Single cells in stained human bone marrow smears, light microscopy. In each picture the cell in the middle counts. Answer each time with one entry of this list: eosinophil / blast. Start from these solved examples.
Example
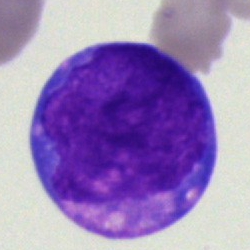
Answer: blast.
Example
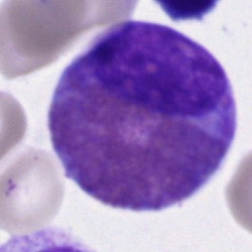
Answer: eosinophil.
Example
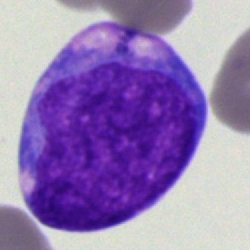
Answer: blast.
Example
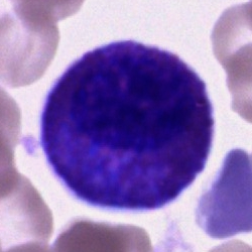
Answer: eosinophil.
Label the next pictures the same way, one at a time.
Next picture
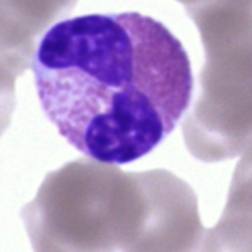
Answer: eosinophil.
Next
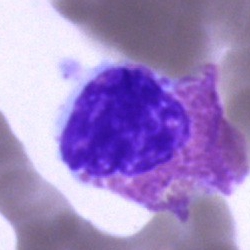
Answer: eosinophil.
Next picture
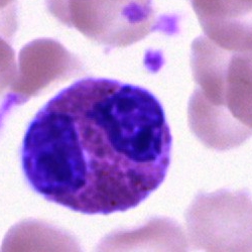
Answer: eosinophil.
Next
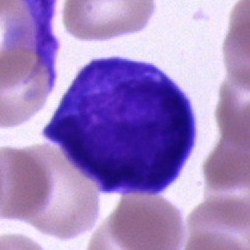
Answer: blast.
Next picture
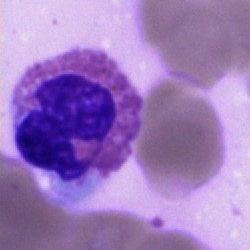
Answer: eosinophil.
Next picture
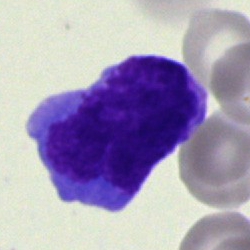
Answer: blast.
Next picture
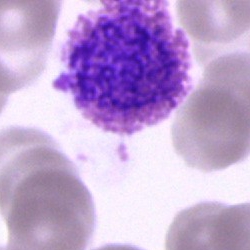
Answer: eosinophil.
